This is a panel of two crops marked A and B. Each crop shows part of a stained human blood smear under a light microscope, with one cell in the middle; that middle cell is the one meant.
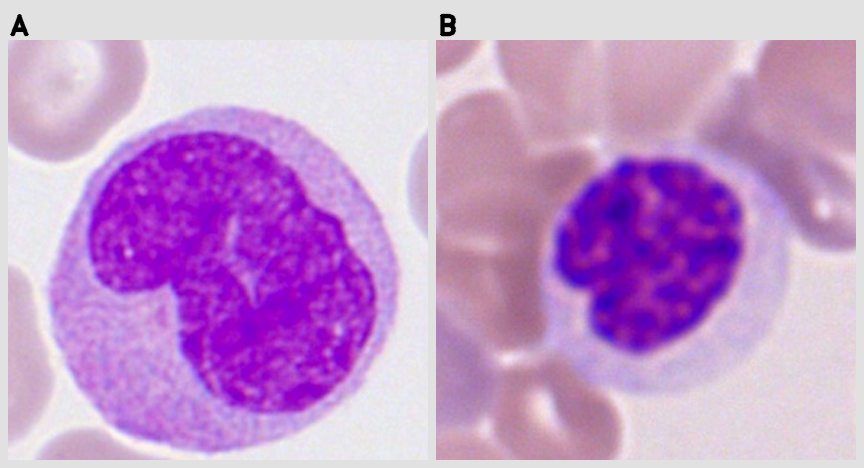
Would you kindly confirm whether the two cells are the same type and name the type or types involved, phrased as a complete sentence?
No, crop A and crop B show a monocyte and a band neutrophil respectively.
